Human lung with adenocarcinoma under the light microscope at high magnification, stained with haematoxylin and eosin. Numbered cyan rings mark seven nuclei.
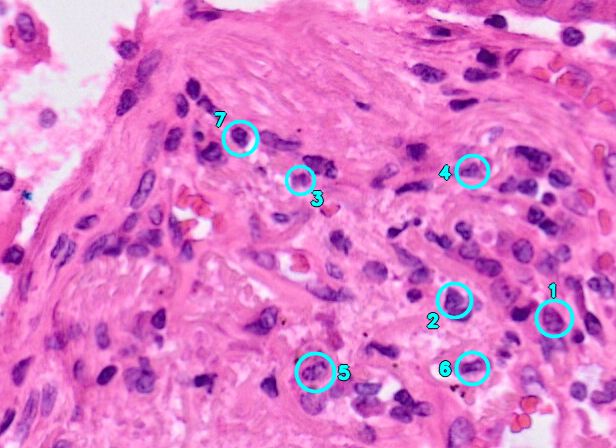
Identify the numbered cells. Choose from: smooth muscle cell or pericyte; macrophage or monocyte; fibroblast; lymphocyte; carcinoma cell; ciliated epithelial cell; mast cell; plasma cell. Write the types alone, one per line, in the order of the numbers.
plasma cell
lymphocyte
lymphocyte
plasma cell
plasma cell
plasma cell
lymphocyte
